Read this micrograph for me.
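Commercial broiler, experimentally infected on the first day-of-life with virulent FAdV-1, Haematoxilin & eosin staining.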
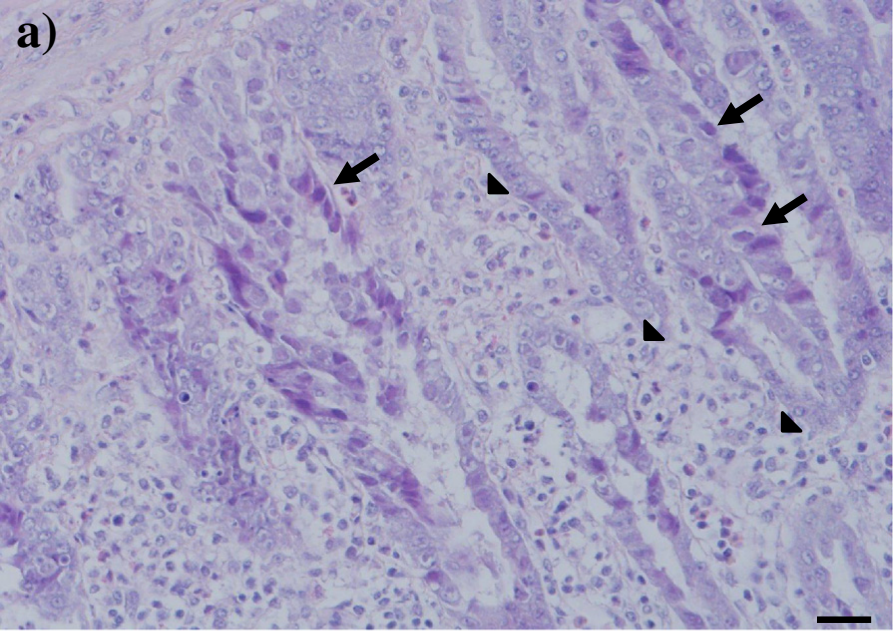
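This is the mucosa of the gizzard, with elongated rows of glandular epithelial cells separated by an expanded lamina propria. Many epithelial cells are degenerated, with large nuclei filled by dense purple basophilic inclusion bodies, which makes them stand out darker than their neighbours. Between the epithelial rows, the lamina propria is crowded with a mixed population of small round inflammatory cells, some with pink granular cytoplasm, set in a loose, pale background.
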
